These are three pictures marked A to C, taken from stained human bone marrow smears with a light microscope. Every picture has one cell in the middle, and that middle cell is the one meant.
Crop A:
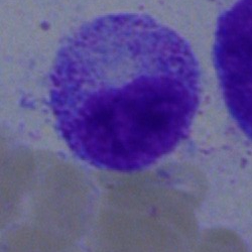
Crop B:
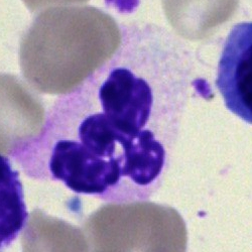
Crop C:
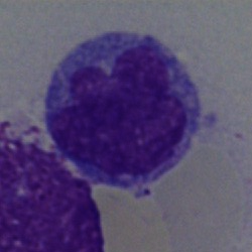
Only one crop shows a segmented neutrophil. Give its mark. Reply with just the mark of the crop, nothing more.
B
